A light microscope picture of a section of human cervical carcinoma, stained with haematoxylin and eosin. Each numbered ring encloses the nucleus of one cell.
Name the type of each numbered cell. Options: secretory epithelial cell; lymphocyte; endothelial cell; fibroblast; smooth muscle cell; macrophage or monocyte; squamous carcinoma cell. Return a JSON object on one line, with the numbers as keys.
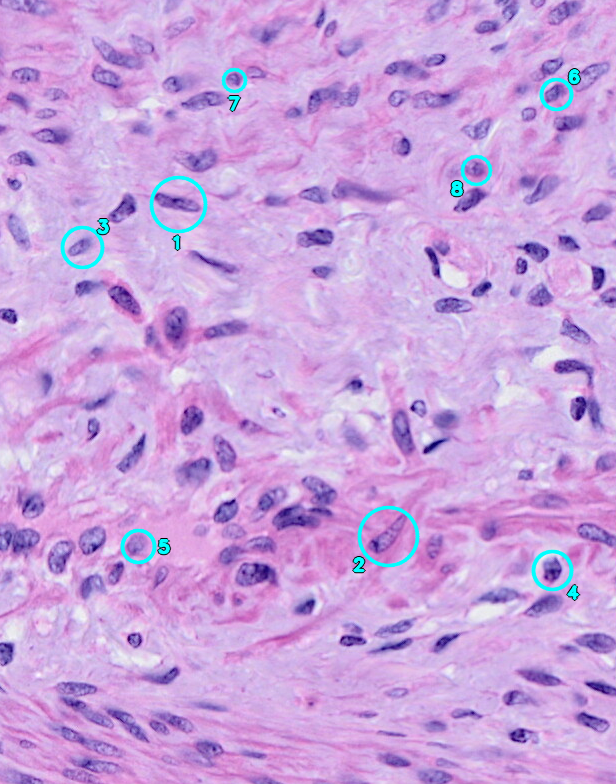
{"1": "fibroblast", "2": "smooth muscle cell", "3": "fibroblast", "4": "lymphocyte", "5": "endothelial cell", "6": "smooth muscle cell", "7": "smooth muscle cell", "8": "smooth muscle cell"}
